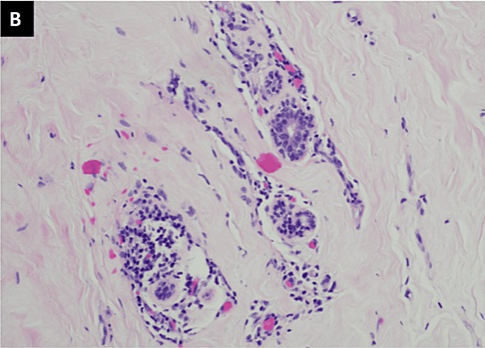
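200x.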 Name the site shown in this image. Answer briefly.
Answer: Around ducts, lobules, and blood vessels.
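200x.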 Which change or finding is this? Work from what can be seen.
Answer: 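Many small round dark-blue nuclei crowd together. These small cells form cuffs around small epithelial structures. The surrounding stroma is pale pink and sparsely cellular. On this evidence: dense lymphocytic infiltrates.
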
